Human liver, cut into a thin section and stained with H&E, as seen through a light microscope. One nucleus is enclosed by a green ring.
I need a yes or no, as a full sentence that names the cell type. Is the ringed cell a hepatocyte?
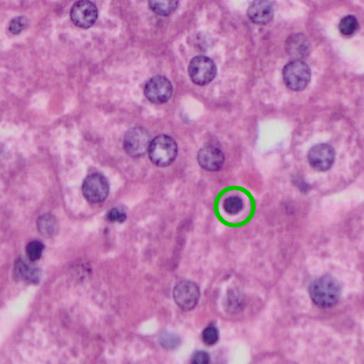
No, as classified here, the ringed cell is a lymphocyte and not a hepatocyte.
